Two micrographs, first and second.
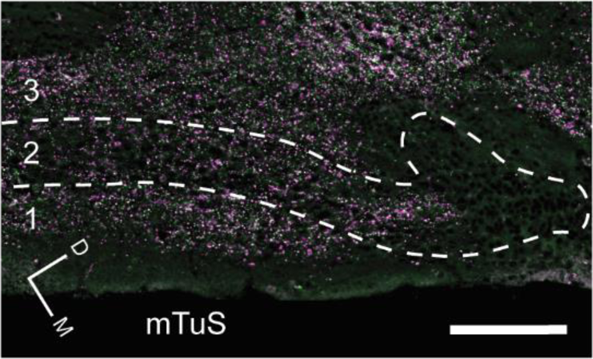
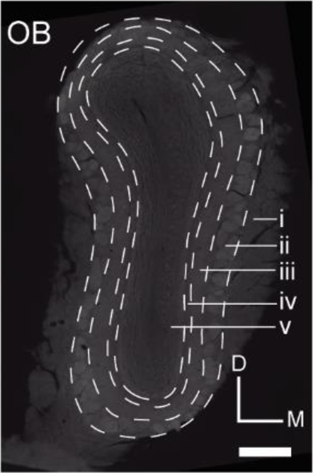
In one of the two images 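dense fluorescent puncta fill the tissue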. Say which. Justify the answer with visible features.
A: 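The first image. Second image: the section appears in uniform grey without bright dots. First image: numerous bright magenta and green dots cover the field.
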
